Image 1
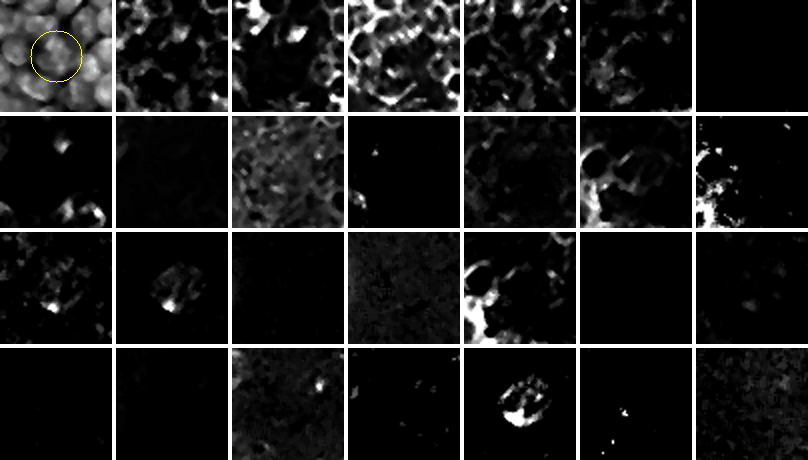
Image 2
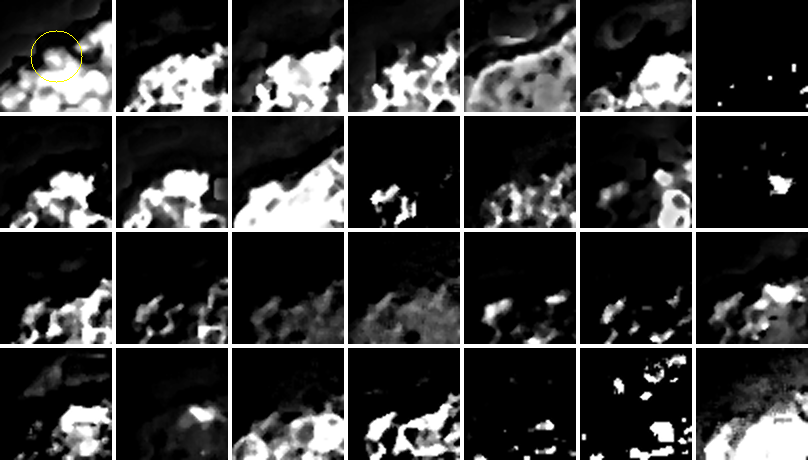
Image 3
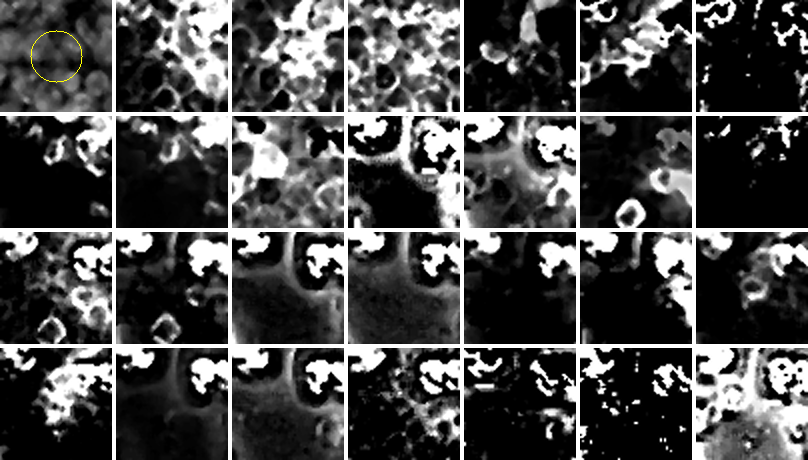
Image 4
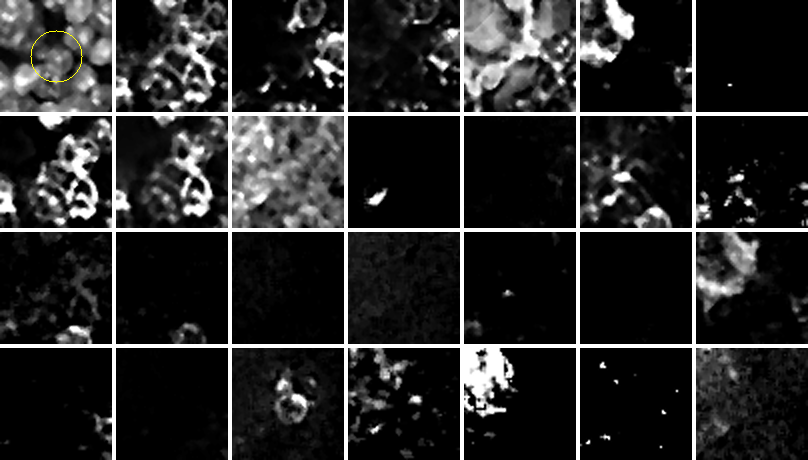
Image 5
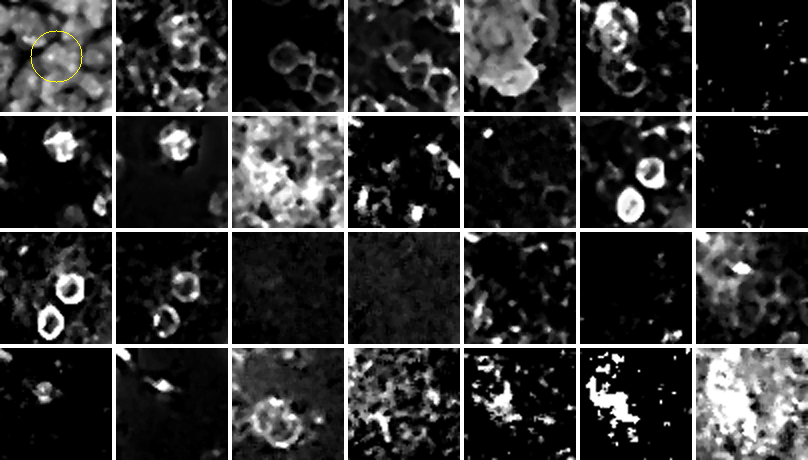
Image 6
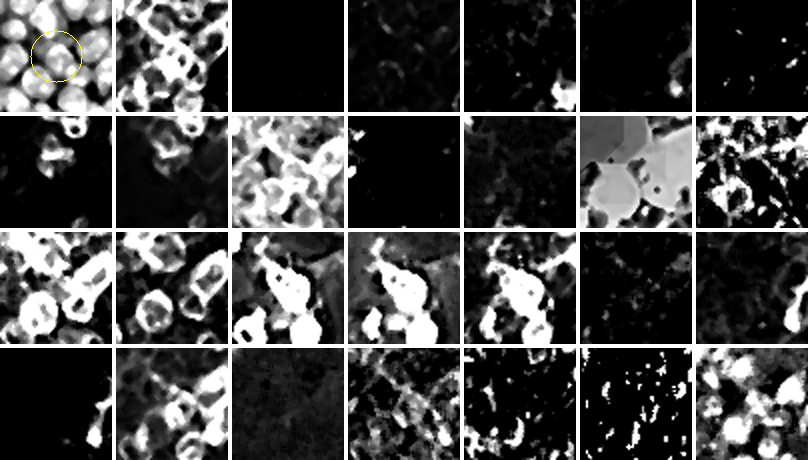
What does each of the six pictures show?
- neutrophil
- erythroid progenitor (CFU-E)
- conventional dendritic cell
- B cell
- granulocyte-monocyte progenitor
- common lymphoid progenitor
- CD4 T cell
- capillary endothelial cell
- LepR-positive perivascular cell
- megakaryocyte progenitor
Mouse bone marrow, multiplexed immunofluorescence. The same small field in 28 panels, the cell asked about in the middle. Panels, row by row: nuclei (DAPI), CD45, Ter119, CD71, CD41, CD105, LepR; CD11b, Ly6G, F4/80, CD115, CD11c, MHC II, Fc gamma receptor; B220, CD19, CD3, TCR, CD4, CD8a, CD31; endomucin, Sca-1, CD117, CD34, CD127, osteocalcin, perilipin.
(1) common lymphoid progenitor
(2) neutrophil
(3) capillary endothelial cell
(4) megakaryocyte progenitor
(5) megakaryocyte progenitor
(6) CD4 T cell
